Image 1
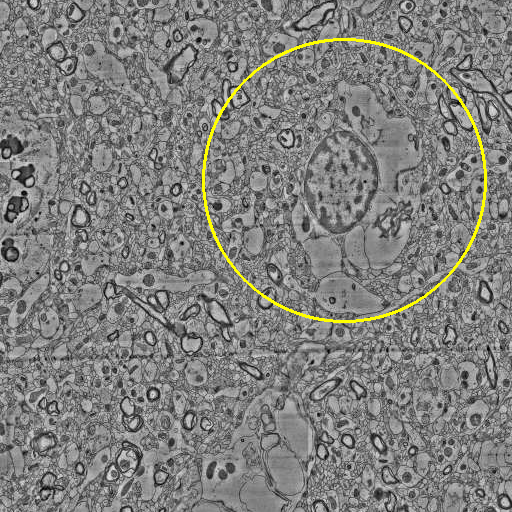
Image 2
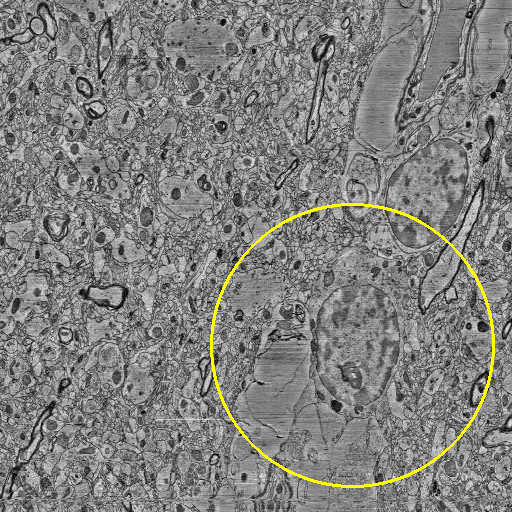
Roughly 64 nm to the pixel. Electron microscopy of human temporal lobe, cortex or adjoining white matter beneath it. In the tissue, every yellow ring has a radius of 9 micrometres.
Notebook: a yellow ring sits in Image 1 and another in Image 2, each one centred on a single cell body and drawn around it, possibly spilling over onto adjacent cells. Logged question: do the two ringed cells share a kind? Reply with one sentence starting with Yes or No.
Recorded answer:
No, the centre cells inside the rings of Image 1 and Image 2 are of two kinds.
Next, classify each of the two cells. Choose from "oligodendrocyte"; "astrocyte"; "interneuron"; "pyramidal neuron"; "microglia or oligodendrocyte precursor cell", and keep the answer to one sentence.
In the first picture it is a microglial cell or oligodendrocyte precursor cell; in the second it is an oligodendrocyte.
